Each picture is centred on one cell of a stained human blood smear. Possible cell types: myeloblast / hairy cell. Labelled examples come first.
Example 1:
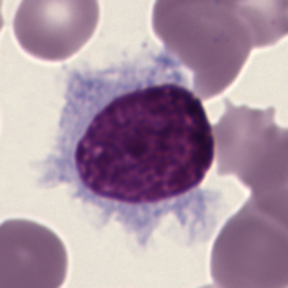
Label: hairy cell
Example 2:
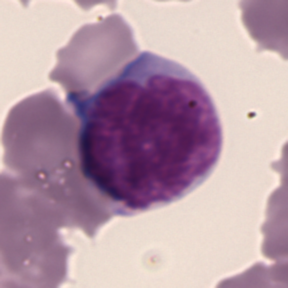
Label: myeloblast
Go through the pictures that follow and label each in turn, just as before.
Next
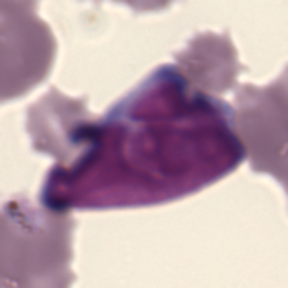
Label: myeloblast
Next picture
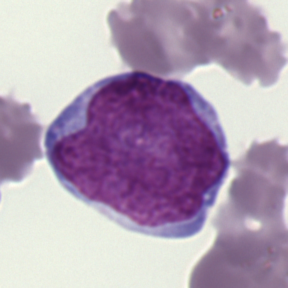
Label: myeloblast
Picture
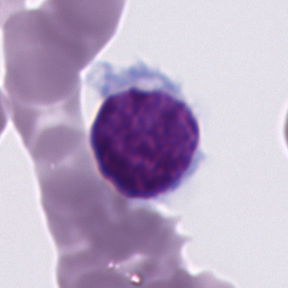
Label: hairy cell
